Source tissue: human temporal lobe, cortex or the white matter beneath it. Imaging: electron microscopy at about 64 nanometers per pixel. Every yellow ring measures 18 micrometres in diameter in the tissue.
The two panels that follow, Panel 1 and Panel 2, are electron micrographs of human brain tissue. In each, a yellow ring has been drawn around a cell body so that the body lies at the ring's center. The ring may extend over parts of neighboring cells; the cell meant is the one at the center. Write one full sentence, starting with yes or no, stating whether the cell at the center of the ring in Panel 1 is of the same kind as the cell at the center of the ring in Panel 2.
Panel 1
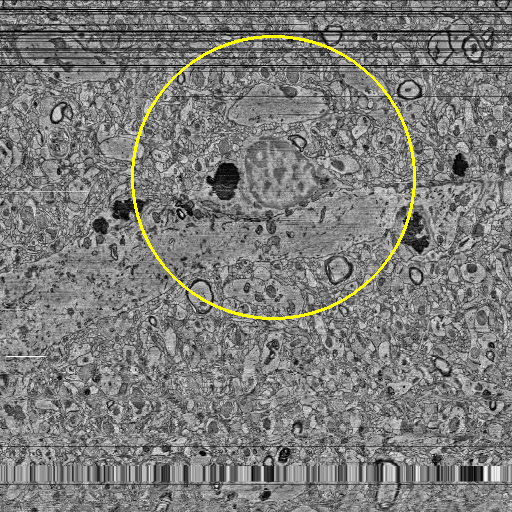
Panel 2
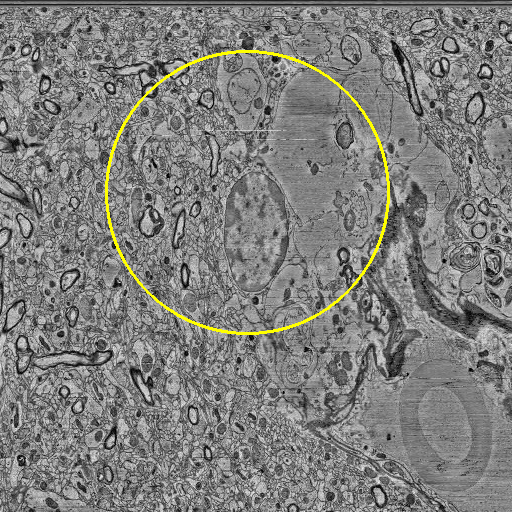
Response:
No, the cells in the two panels are of two kinds.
